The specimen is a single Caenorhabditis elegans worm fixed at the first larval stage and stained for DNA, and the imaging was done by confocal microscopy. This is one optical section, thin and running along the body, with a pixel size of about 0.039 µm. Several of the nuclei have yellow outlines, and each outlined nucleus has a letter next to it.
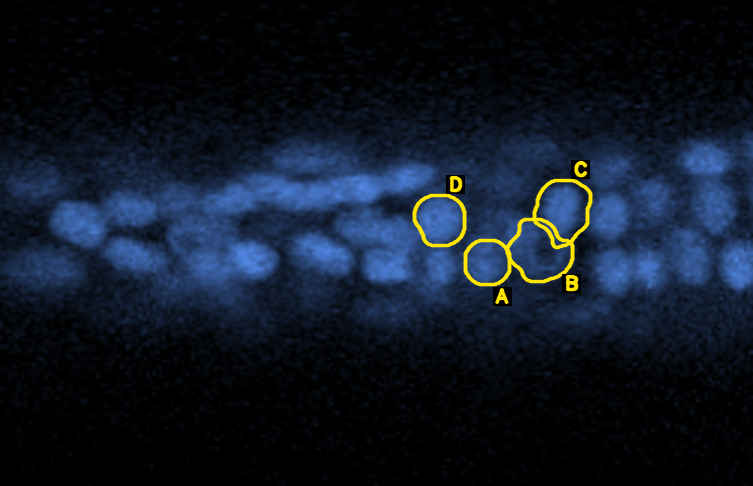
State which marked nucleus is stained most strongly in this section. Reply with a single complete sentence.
Of the marked nuclei, D takes up the stain most strongly.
